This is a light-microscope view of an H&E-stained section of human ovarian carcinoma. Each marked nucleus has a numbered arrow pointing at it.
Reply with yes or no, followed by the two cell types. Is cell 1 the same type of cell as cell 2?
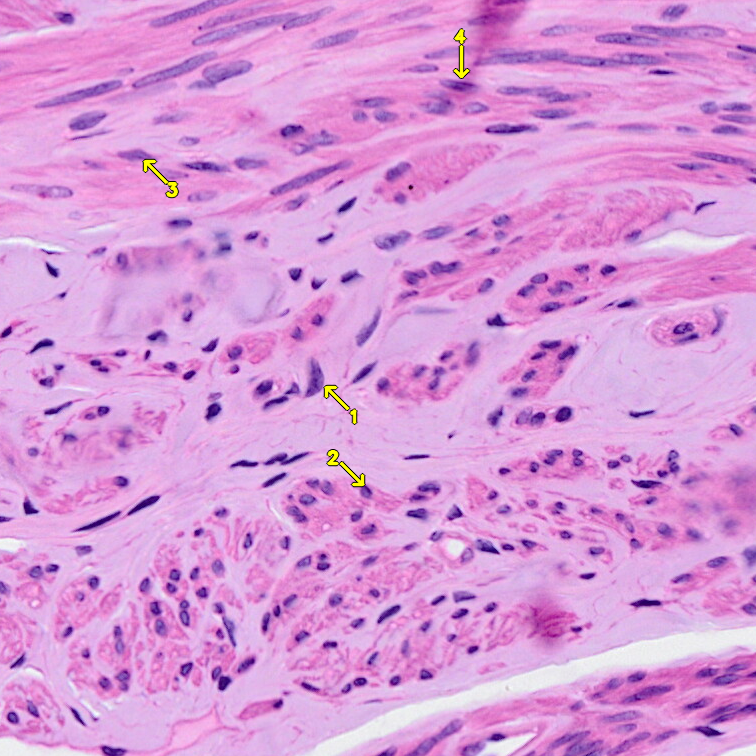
No, cell 1 is a fibroblast, and cell 2, in contrast, is a smooth muscle cell.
